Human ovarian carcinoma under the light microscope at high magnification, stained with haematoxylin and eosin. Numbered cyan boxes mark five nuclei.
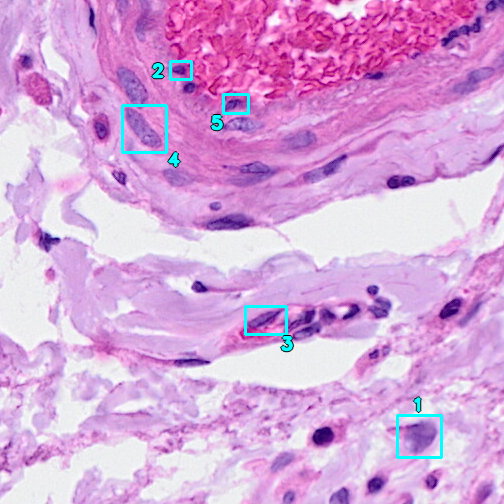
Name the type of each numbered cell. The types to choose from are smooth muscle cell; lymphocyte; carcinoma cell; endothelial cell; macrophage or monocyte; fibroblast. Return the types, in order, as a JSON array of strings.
["fibroblast", "endothelial cell", "endothelial cell", "smooth muscle cell", "endothelial cell"]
